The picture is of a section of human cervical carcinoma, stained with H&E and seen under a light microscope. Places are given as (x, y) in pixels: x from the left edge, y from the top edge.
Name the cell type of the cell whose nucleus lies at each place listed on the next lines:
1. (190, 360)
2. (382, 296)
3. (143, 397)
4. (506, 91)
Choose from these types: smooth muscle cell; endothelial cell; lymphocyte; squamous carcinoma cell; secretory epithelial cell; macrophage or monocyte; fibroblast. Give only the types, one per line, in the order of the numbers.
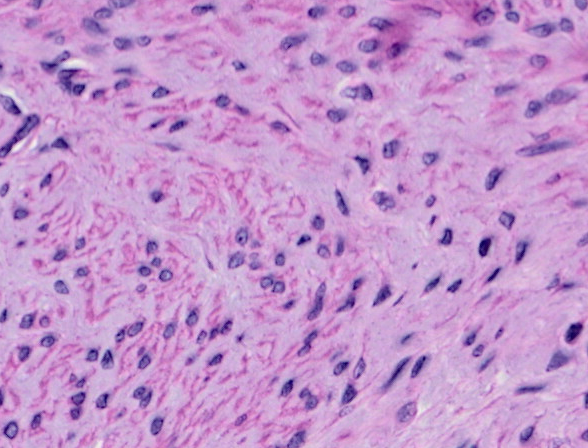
smooth muscle cell
fibroblast
smooth muscle cell
smooth muscle cell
